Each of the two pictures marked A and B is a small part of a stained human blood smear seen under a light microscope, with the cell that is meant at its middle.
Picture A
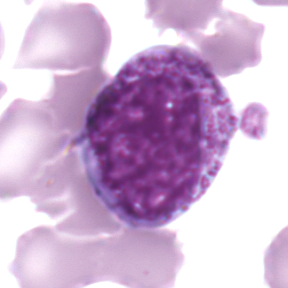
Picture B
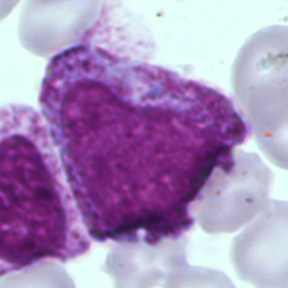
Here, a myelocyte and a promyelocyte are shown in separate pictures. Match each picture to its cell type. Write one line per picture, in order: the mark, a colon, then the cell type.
A: myelocyte
B: promyelocyte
